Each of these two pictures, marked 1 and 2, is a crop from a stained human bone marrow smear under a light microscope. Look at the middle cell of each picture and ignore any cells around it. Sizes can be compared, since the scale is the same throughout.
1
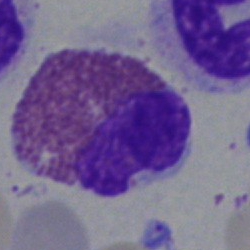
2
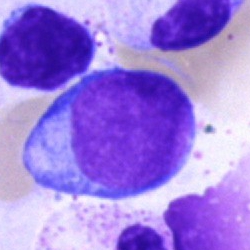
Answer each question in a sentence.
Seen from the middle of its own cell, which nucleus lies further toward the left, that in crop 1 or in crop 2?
It is the nucleus in crop 2 that lies further toward the left of its cell.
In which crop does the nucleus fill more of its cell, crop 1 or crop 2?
Of the two, the nucleus in crop 2 makes up the greater part of its cell.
